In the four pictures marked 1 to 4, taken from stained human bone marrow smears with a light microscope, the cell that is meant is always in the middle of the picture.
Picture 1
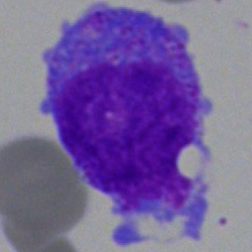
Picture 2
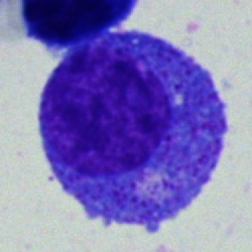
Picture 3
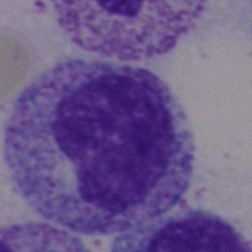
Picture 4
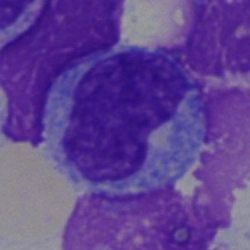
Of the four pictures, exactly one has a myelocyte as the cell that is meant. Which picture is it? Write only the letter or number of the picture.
3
